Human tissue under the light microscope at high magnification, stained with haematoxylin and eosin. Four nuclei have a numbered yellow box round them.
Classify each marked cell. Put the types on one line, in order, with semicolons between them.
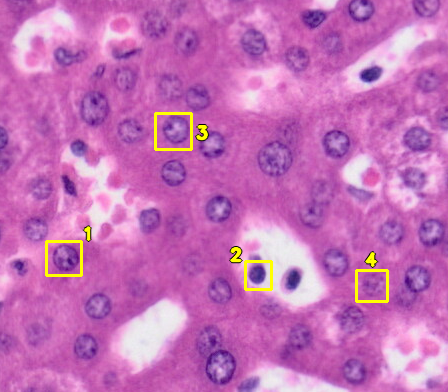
hepatocyte; lymphocyte; hepatocyte; hepatocyte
